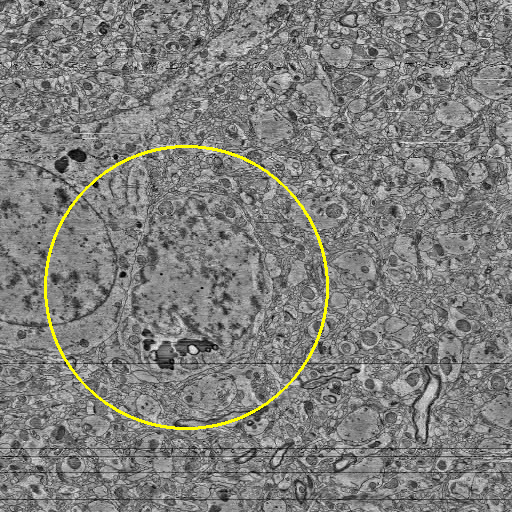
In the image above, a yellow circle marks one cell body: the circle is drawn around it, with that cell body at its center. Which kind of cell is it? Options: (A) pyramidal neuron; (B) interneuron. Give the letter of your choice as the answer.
B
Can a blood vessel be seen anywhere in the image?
No, there is none.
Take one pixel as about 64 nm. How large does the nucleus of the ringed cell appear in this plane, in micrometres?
In this plane the nucleus is about 9 micrometres across.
